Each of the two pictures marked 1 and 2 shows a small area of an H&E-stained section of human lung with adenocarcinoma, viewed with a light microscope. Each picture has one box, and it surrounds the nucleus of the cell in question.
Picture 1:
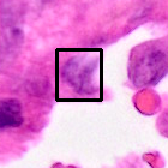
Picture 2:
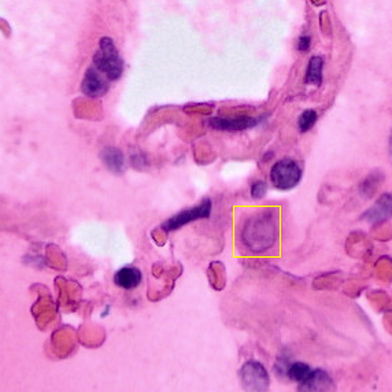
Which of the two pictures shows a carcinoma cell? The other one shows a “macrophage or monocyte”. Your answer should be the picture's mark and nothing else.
1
